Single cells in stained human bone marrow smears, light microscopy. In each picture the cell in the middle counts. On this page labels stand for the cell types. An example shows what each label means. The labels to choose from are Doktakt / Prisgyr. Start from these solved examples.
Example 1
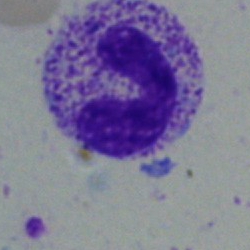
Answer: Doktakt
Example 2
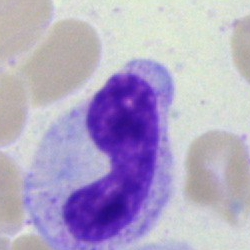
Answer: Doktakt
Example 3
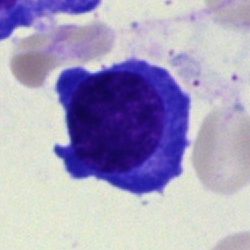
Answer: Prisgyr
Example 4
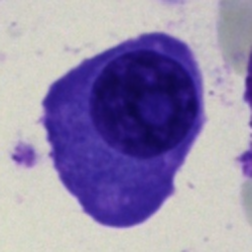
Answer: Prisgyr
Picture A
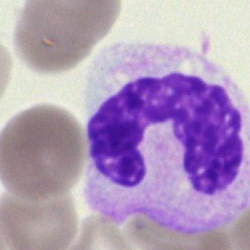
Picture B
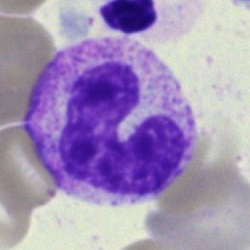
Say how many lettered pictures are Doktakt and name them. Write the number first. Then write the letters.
2: A, B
